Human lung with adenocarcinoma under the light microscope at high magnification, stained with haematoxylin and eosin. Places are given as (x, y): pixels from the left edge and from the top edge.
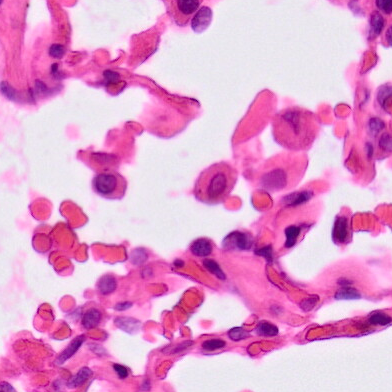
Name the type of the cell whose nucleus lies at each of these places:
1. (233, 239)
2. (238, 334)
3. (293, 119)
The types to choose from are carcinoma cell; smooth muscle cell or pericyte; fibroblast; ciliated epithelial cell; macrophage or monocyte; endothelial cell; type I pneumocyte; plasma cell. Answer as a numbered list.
1. type I pneumocyte
2. type I pneumocyte
3. macrophage or monocyte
